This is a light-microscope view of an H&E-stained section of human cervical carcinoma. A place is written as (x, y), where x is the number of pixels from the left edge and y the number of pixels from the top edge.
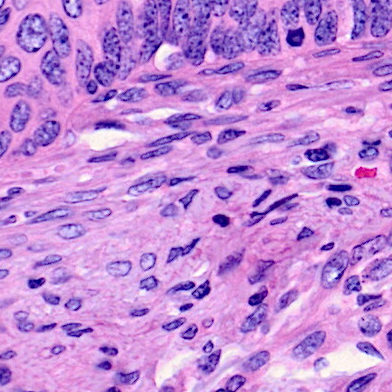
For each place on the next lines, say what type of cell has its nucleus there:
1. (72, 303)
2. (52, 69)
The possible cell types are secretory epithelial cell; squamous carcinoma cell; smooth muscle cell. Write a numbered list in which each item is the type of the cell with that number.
1. smooth muscle cell
2. squamous carcinoma cell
